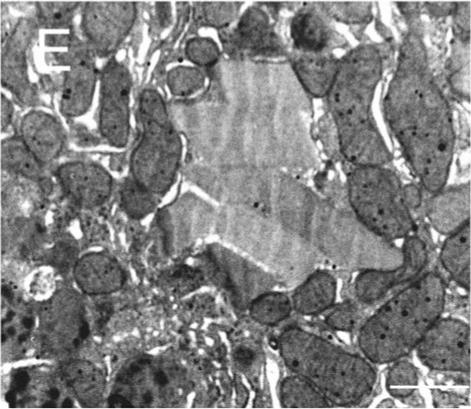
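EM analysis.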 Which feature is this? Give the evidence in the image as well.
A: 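A large angular, faintly striated body lies in the cytoplasm. It is surrounded by mitochondria.
Rhomboid.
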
